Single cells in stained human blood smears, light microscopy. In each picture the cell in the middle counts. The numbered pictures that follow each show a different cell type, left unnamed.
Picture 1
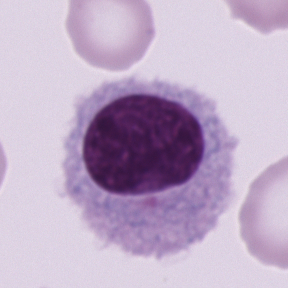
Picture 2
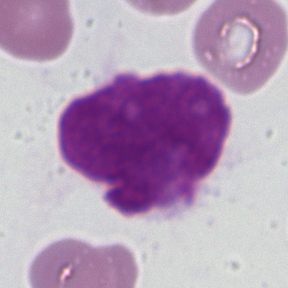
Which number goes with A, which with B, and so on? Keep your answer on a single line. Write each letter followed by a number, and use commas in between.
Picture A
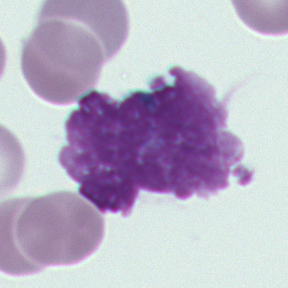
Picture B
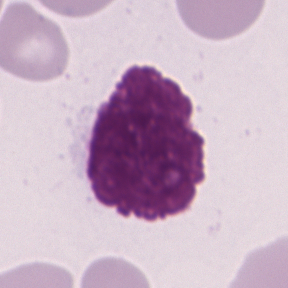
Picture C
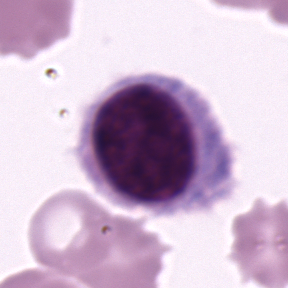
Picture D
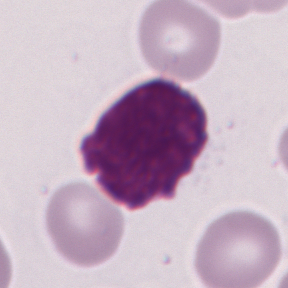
A 2, B 2, C 1, D 2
